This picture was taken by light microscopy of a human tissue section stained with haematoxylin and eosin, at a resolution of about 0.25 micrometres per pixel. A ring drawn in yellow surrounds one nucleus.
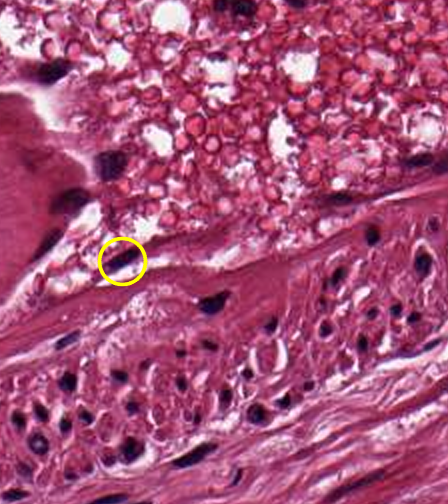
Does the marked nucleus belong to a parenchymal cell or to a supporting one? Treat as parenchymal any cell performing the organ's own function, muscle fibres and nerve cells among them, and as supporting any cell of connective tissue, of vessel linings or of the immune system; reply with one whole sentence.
In this field, the marked nucleus is the nucleus of a supporting cell.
